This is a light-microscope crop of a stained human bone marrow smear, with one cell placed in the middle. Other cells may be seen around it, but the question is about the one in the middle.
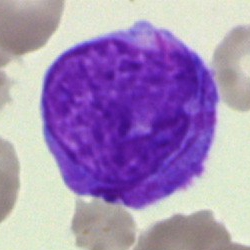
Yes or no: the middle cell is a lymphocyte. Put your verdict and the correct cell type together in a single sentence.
No, the central cell is not a lymphocyte, being instead a blast.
